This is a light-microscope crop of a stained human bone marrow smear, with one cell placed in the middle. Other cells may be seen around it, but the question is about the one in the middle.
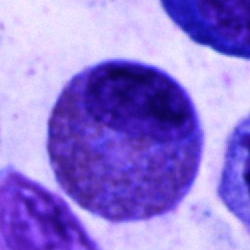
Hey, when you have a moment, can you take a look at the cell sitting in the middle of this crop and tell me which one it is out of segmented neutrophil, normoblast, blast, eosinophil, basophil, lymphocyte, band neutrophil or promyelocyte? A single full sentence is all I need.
The cell centred in this crop is categorized as an eosinophil.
